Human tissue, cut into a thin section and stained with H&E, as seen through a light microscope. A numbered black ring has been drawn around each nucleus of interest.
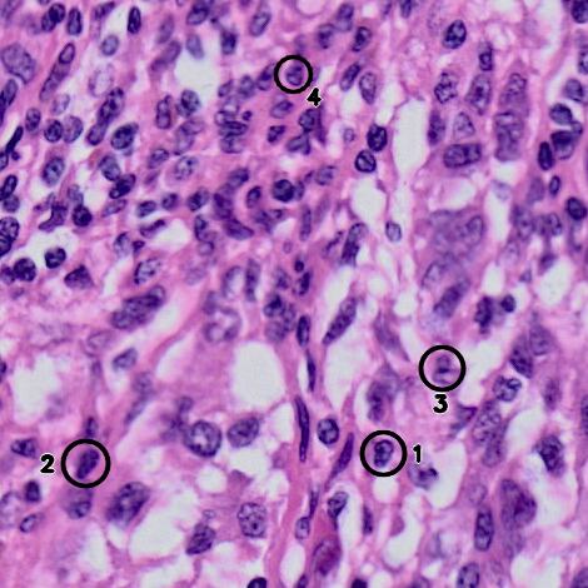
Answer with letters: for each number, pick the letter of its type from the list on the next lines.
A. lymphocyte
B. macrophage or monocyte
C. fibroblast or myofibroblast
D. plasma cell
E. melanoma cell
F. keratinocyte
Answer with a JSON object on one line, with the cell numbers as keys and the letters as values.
{"1": "A", "2": "A", "3": "B", "4": "A"}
